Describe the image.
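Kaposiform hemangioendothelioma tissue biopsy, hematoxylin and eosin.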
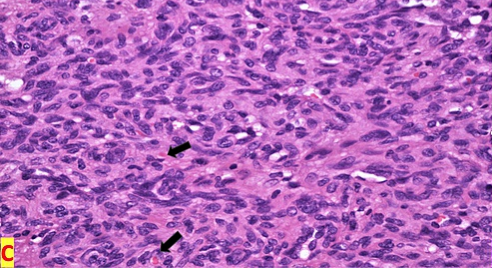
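This is a densely cellular vascular tumour made of plump spindle-shaped and oval cells packed closely together. The nuclei are elongated to oval, dark purple, with fine chromatin, and they lie in many directions, some in short streams. The cytoplasm is pale pink and ill defined, so cell borders are hard to make out. Here and there, small pink-red deposits sit among the cells, with the surrounding nuclei crowding around them. A few tiny clear slits and spaces open between the cells. There is very little intervening stroma; the field is almost entirely cells.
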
